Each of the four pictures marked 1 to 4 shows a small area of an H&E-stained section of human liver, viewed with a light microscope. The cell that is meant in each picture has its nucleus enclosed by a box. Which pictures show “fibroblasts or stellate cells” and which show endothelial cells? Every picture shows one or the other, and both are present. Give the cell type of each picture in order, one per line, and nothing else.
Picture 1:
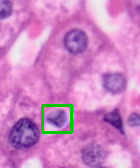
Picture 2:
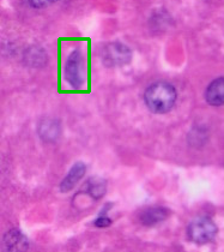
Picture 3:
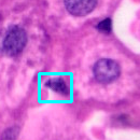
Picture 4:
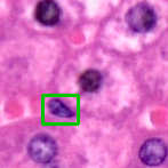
endothelial cell
endothelial cell
endothelial cell
fibroblast or stellate cell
